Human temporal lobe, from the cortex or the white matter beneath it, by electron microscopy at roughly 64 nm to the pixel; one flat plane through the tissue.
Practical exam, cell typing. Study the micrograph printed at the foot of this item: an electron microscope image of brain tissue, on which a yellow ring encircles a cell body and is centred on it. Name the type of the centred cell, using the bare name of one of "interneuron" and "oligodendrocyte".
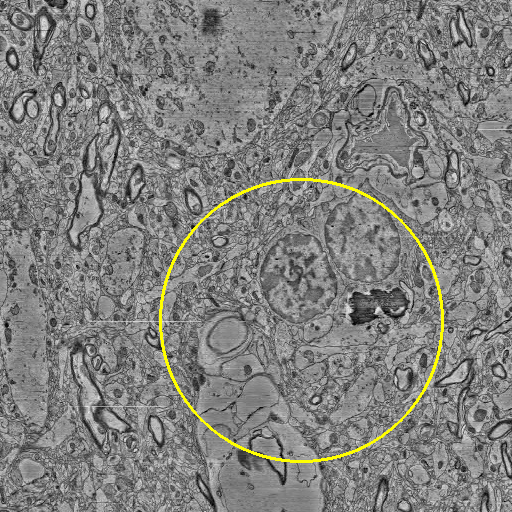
oligodendrocyte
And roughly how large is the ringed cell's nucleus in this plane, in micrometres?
The nucleus appears roughly 6 by 5 micrometres in this plane.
